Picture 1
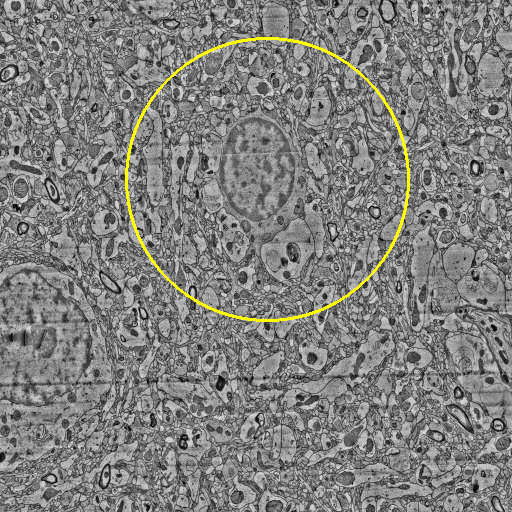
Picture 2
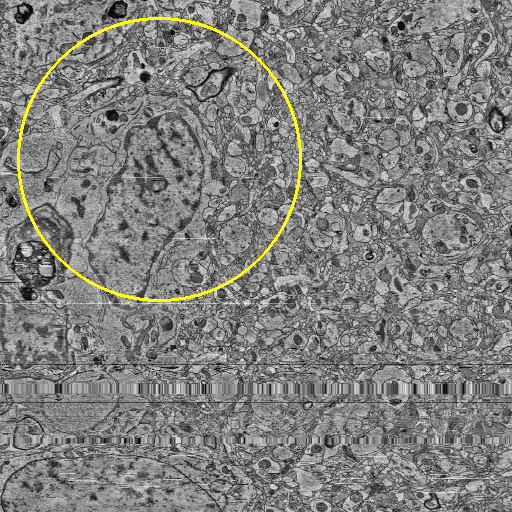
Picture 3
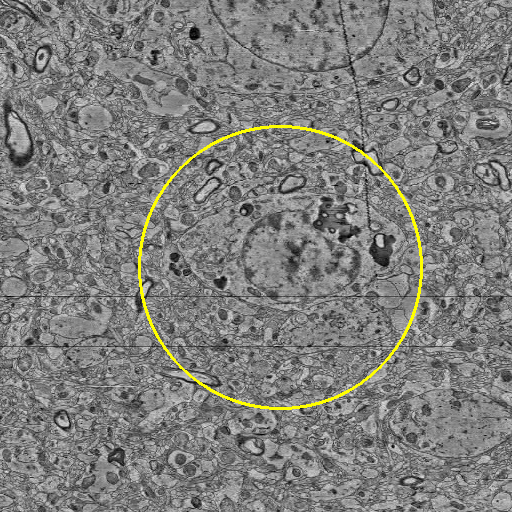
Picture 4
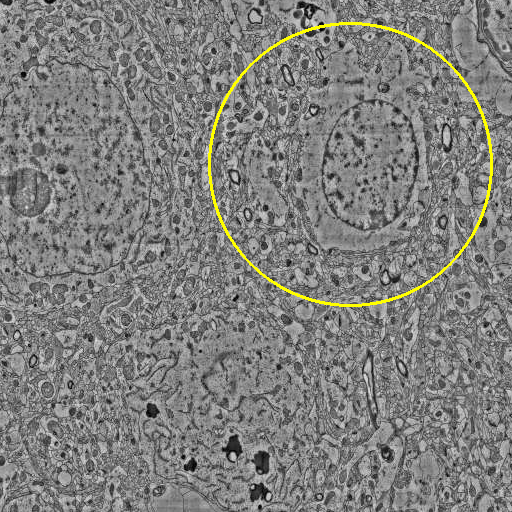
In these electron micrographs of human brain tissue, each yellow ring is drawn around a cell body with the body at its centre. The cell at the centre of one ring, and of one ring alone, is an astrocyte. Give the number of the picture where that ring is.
4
